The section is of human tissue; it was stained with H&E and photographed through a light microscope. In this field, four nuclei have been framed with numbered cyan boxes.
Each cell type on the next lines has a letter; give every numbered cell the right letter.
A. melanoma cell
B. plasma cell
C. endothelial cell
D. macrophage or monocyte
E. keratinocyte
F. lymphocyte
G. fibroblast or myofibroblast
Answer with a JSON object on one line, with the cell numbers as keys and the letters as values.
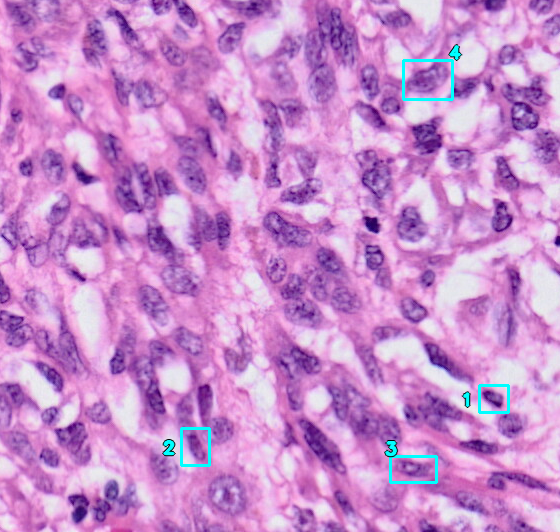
{"1": "D", "2": "A", "3": "A", "4": "A"}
